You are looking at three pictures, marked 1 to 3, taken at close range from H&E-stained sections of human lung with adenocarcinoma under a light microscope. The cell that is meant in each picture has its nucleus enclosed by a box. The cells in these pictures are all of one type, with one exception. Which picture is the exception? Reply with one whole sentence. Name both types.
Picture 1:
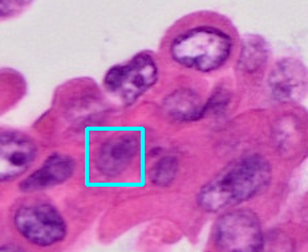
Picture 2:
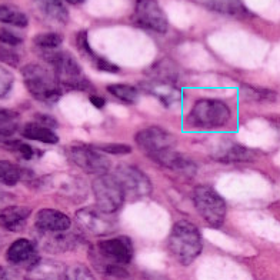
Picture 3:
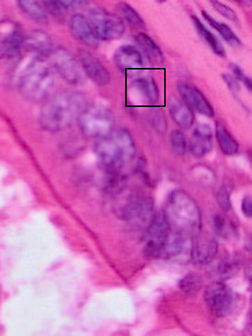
All pictures except 1 show ciliated epithelial cells; picture 1 shows a carcinoma cell.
